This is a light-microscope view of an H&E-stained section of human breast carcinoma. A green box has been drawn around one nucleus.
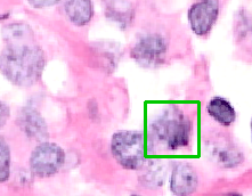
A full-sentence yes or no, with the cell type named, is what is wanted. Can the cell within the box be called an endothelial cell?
No, the cell within the box is correctly named a carcinoma cell; it is not an endothelial cell.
